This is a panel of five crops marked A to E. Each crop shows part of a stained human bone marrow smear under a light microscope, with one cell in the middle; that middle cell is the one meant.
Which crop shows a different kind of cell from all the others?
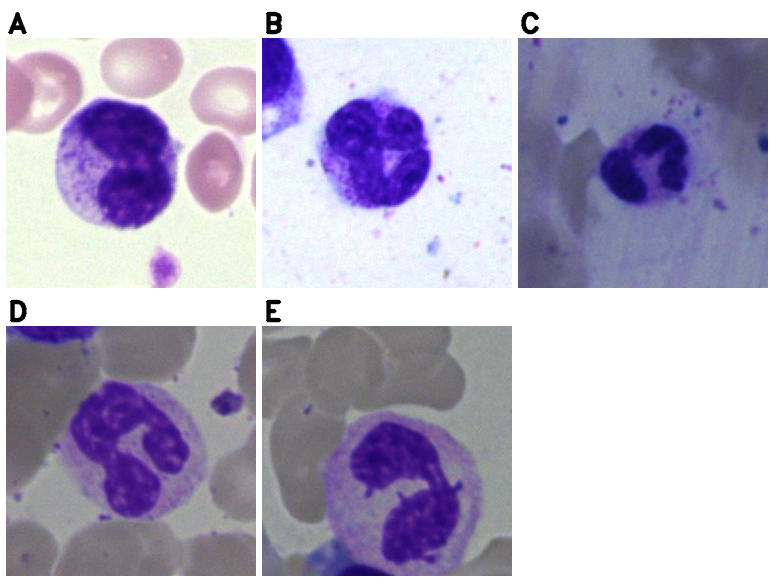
A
